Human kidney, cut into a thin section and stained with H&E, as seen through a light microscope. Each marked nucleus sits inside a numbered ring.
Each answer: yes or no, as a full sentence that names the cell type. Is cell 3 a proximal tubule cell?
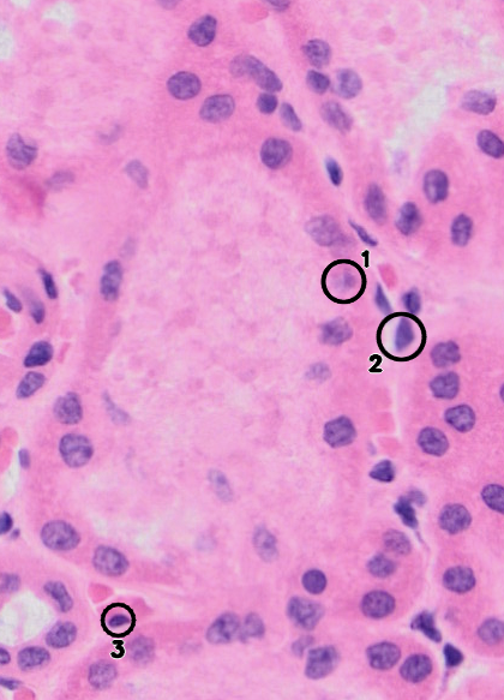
No, calling cell 3 a proximal tubule cell is a mistake; it is an endothelial cell.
